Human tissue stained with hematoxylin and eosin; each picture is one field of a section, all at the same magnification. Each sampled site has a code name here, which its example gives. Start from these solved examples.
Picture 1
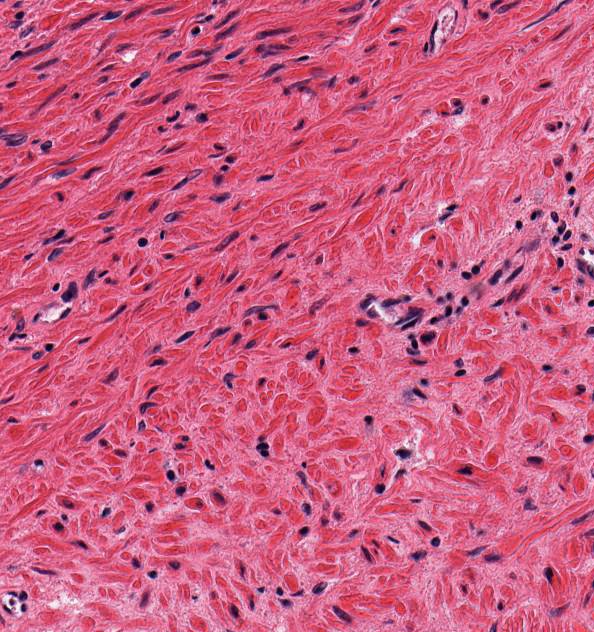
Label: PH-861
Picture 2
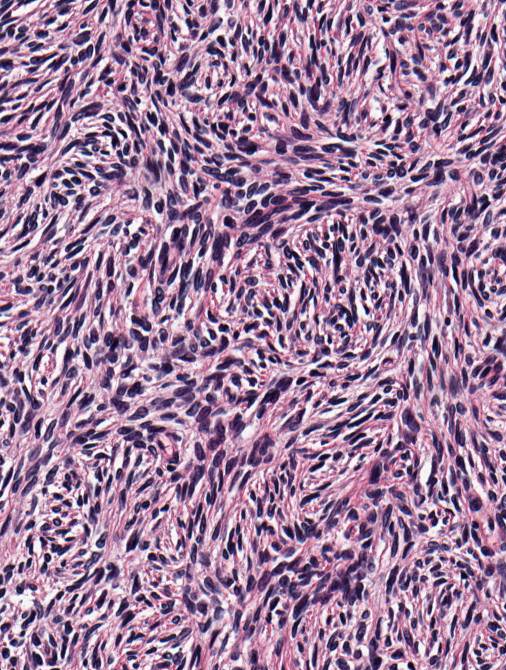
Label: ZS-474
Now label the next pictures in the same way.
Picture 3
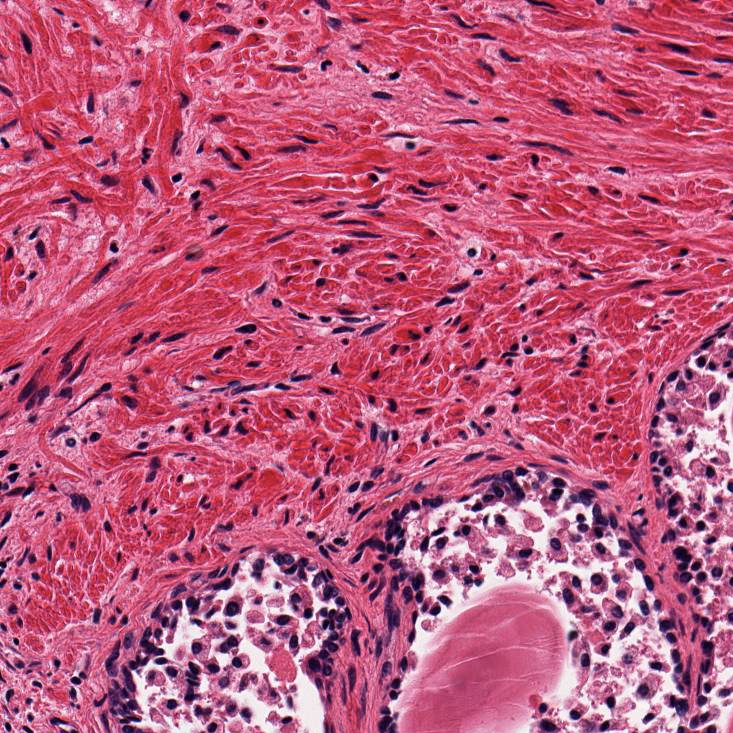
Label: PH-861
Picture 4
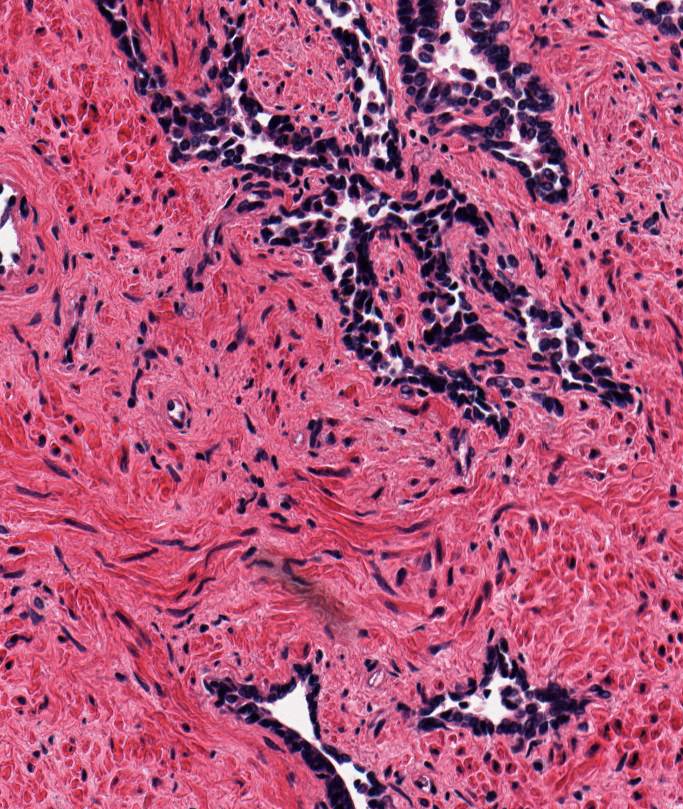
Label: PH-861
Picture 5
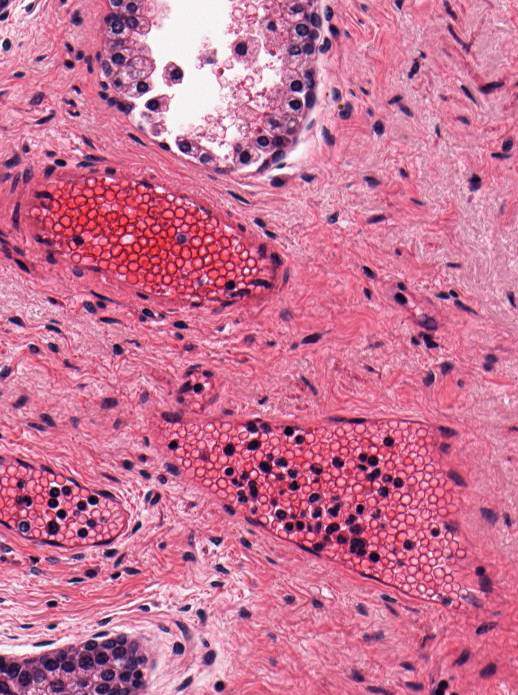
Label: PH-861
